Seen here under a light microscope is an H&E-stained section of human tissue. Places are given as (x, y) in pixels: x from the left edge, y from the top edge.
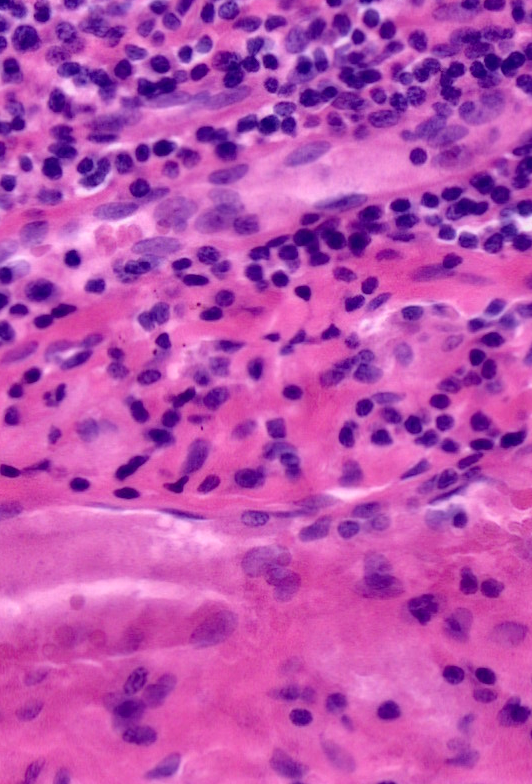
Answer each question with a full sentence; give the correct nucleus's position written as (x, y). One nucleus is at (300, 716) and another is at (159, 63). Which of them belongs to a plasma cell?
Between the pair, the nucleus at (159, 63) belongs to a plasma cell.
